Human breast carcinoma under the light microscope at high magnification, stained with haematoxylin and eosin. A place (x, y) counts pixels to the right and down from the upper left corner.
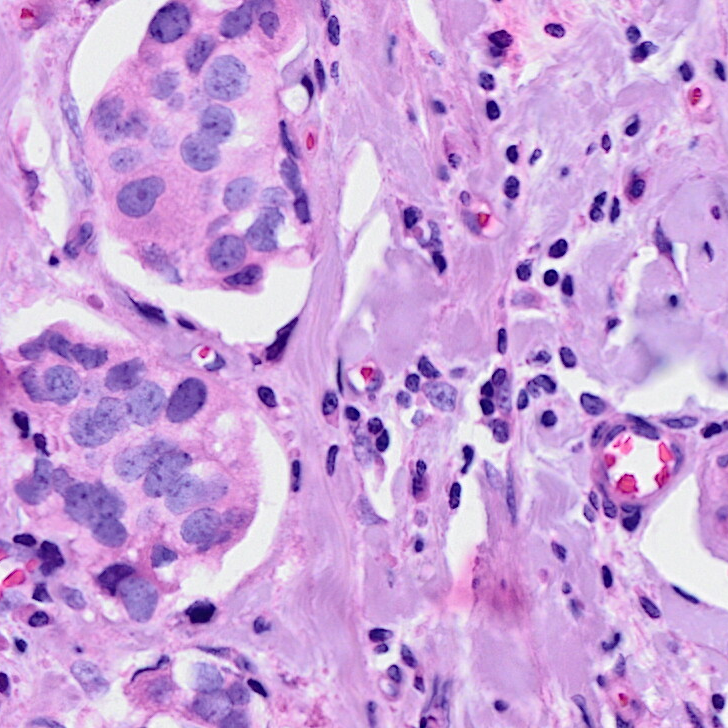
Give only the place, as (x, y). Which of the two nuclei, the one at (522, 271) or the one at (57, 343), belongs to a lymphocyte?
(522, 271)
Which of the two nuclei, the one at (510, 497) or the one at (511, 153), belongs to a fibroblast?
(510, 497)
